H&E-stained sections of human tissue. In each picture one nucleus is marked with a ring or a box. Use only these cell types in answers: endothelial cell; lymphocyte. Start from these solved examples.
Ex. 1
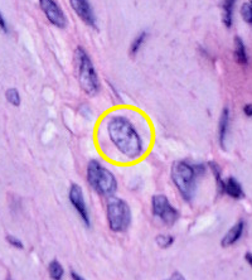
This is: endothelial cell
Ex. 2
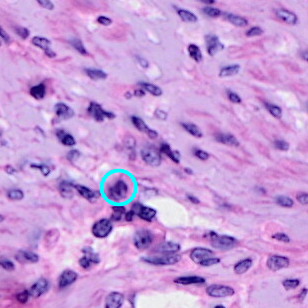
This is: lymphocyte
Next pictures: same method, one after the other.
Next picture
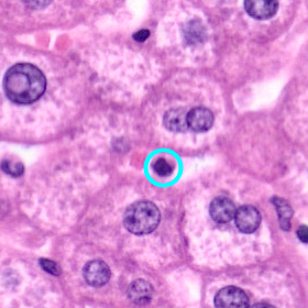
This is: lymphocyte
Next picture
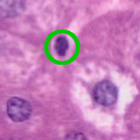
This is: lymphocyte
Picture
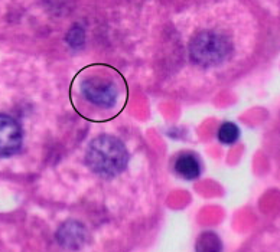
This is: endothelial cell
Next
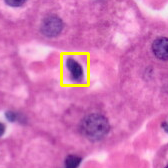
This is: lymphocyte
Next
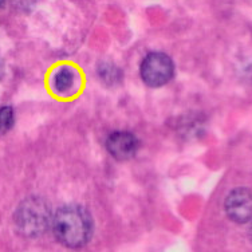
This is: lymphocyte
